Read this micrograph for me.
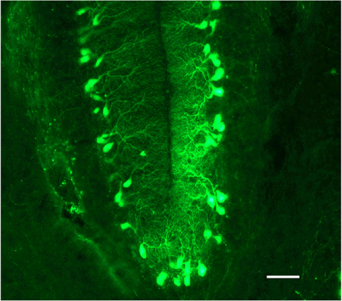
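Rows of bright green rounded cell bodies line both sides of a narrow fold, some less regularly placed than a smooth row. The green branches rising from them are sparser and thinner, leaving darker gaps, and the band they occupy between the two rows is narrow. These are Purkinje neurons with shrunken dendritic arbors, a thinned molecular layer consistent with dendritic degeneration.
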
